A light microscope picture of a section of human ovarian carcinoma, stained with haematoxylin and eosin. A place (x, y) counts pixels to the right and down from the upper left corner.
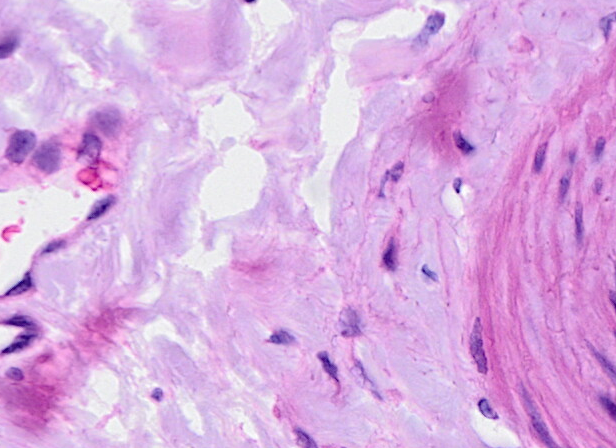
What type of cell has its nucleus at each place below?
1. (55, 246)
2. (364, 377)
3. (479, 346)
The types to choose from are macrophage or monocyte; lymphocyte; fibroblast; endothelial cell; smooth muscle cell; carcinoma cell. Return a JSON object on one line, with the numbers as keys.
{"1": "endothelial cell", "2": "fibroblast", "3": "smooth muscle cell"}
